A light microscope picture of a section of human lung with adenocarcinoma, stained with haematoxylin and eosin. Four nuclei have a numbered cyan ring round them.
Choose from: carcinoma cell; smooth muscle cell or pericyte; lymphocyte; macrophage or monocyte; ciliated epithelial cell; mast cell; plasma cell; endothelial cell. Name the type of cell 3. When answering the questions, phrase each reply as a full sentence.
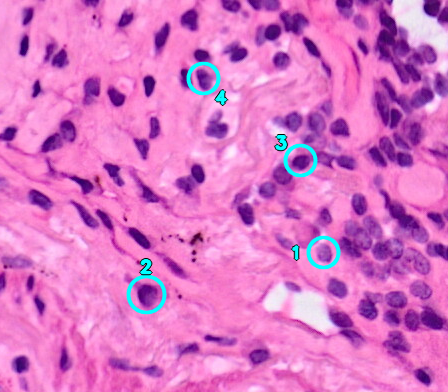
That cell with number 3 is a lymphocyte.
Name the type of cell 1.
Denoted by the label 1 in the section is a lymphocyte.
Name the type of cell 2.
Among the marked nuclei, number 2 belongs to a plasma cell.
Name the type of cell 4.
Regarding cell 4, this one is a lymphocyte.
